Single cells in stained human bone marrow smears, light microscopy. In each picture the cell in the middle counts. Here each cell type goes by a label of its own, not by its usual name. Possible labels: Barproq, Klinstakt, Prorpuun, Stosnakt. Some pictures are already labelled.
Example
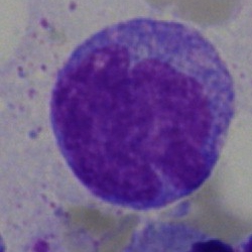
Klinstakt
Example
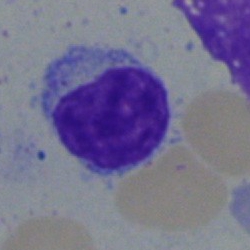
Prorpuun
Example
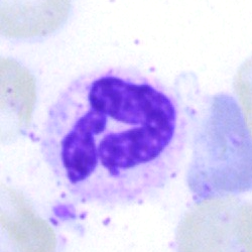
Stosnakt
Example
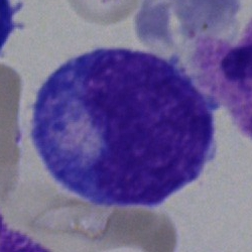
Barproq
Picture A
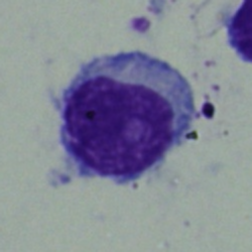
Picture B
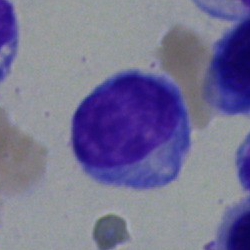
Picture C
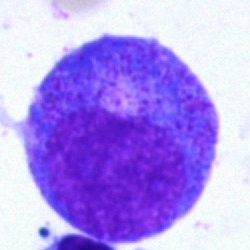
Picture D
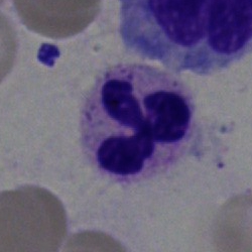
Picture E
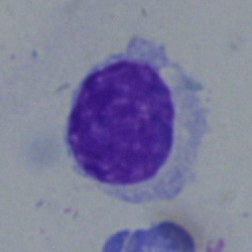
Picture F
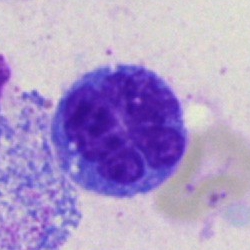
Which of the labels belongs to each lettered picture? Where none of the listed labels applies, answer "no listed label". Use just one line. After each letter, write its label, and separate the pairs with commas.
A Prorpuun, B Prorpuun, C Barproq, D Stosnakt, E Prorpuun, F Klinstakt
